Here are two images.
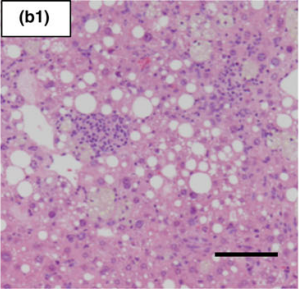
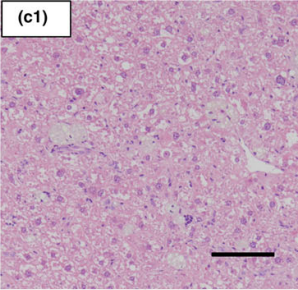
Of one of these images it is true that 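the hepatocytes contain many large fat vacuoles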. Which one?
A: The first image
